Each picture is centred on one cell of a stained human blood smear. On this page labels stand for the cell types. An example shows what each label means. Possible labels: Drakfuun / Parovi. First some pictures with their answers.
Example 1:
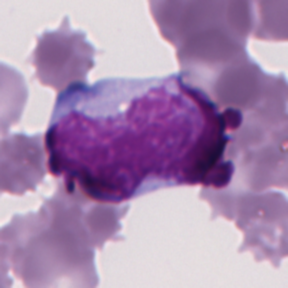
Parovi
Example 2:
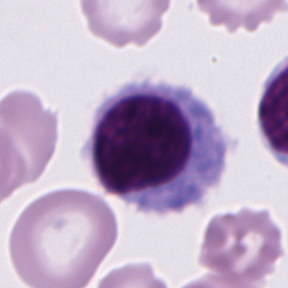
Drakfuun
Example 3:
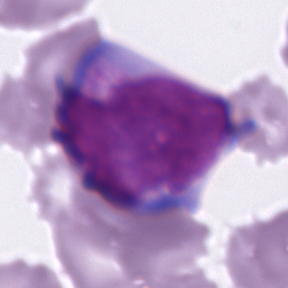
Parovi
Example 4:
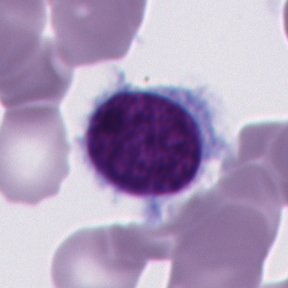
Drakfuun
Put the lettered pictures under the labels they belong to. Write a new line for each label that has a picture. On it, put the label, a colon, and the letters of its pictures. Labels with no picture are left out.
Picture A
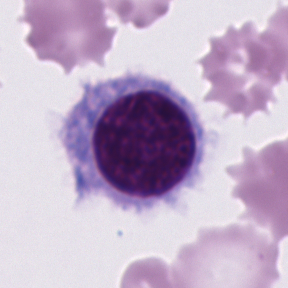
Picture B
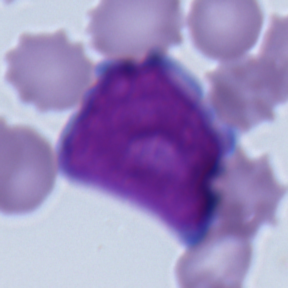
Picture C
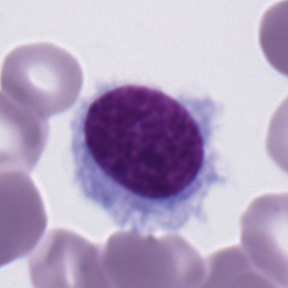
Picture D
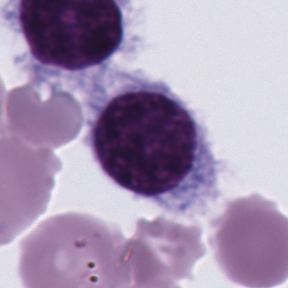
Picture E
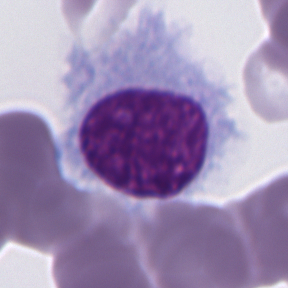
Drakfuun: A, C, D, E
Parovi: B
